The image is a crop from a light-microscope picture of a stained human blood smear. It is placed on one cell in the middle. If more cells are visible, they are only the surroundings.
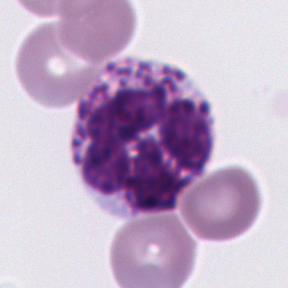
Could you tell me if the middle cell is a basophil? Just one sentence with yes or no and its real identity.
Yes, the cell in the middle of the view is a basophil.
